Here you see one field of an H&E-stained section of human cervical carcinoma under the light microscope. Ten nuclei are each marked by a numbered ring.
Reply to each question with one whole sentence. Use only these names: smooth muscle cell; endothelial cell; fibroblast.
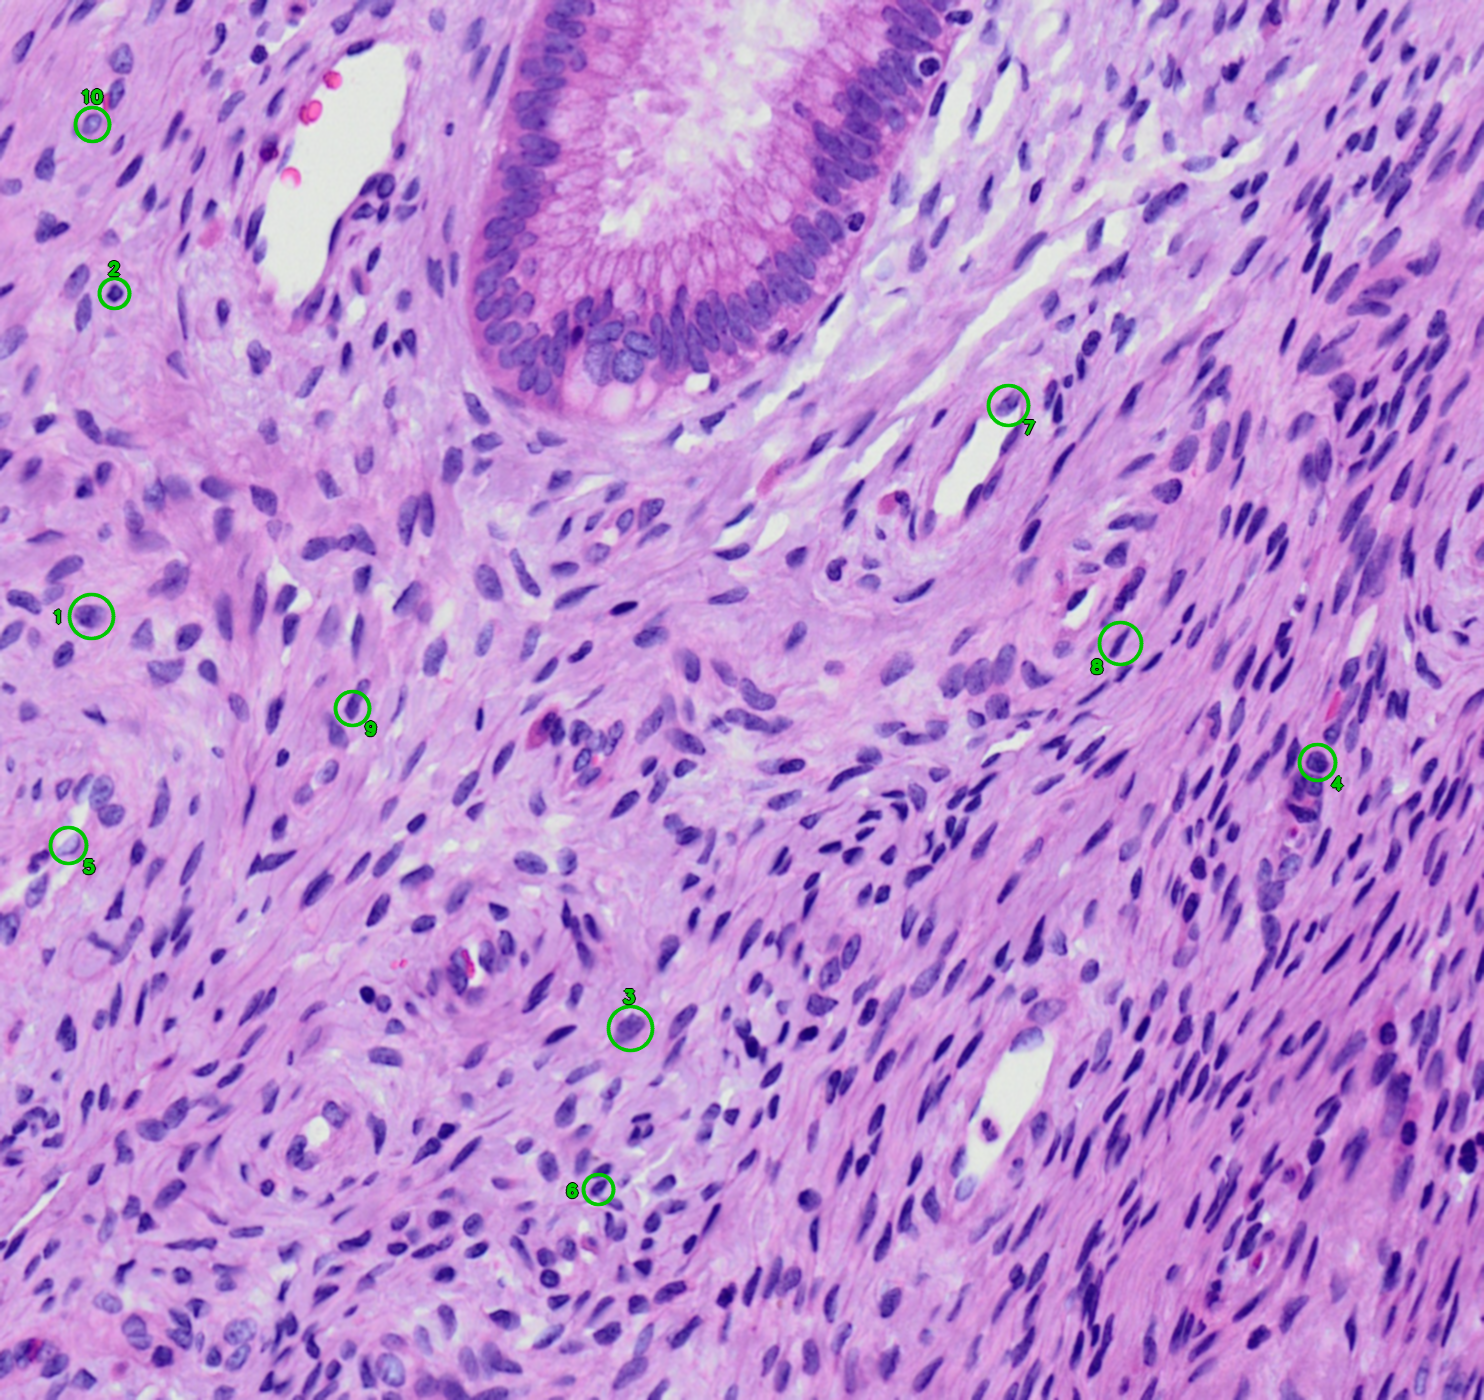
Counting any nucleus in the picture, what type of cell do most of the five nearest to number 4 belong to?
Around number 4, most of the five nearest nuclei are those of smooth muscle cells.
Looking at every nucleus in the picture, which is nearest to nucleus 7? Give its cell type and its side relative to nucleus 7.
Lying below nucleus 7, the nearest nucleus is that of an endothelial cell.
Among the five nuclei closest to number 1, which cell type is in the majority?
Fibroblasts make up most of the five nuclei closest to number 1.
